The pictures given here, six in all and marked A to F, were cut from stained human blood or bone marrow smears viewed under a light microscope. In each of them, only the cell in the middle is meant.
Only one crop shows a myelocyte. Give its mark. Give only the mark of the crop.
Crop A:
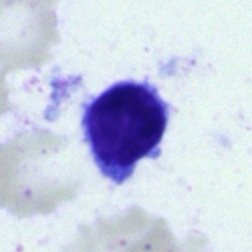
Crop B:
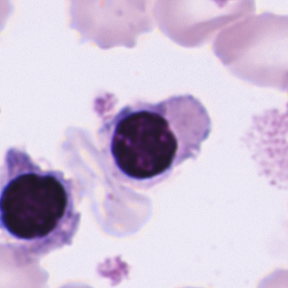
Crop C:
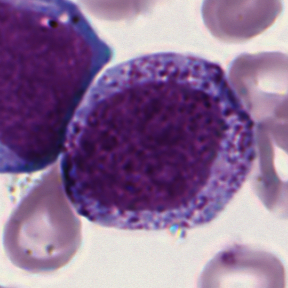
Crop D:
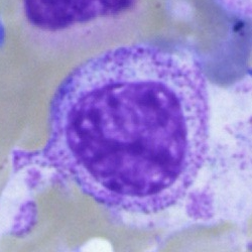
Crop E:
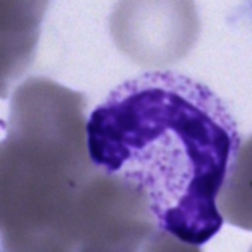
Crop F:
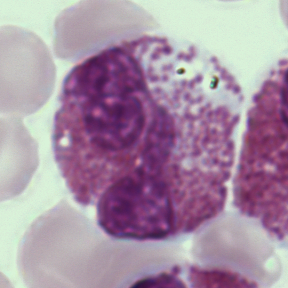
D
